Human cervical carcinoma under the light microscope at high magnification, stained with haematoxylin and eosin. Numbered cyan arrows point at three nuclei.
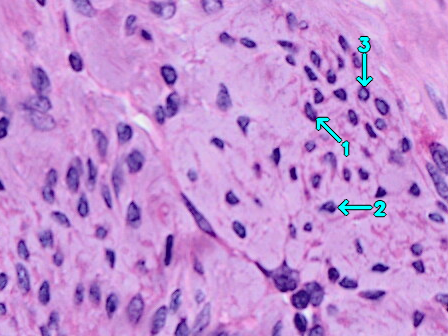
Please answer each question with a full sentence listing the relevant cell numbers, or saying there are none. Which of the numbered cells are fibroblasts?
Among the cells marked with numbers, the only one that is a fibroblast is number 2.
